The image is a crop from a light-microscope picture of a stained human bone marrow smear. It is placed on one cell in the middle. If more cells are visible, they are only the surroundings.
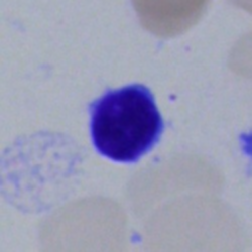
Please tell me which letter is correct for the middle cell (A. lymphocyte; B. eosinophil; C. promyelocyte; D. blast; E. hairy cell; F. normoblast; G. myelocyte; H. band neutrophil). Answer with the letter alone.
A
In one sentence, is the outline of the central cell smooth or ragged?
A ragged or projecting edge replaces the smooth outline in this cell.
